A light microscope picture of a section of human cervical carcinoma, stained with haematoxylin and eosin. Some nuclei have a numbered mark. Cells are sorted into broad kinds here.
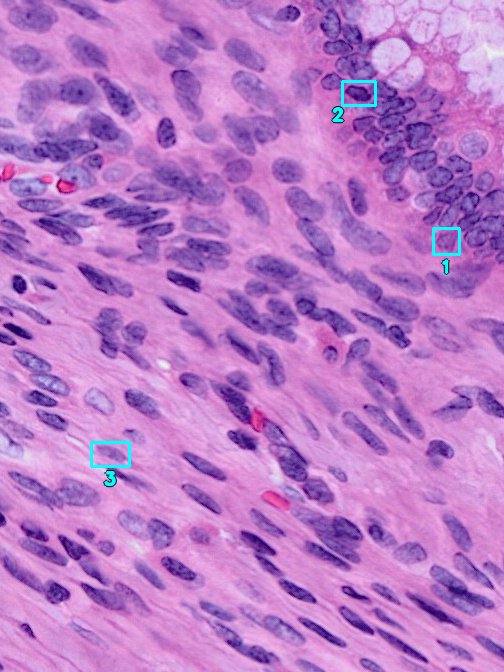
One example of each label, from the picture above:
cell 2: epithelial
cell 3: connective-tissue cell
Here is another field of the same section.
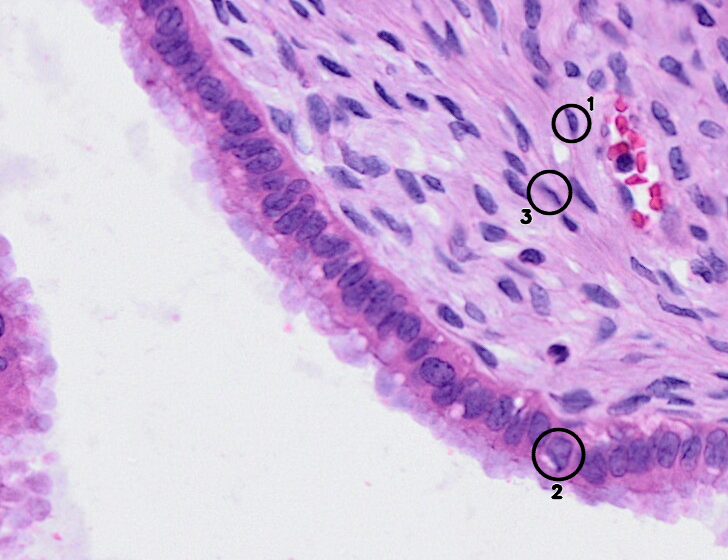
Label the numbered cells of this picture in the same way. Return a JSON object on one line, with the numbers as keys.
{"1": "connective-tissue cell", "2": "epithelial", "3": "connective-tissue cell"}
